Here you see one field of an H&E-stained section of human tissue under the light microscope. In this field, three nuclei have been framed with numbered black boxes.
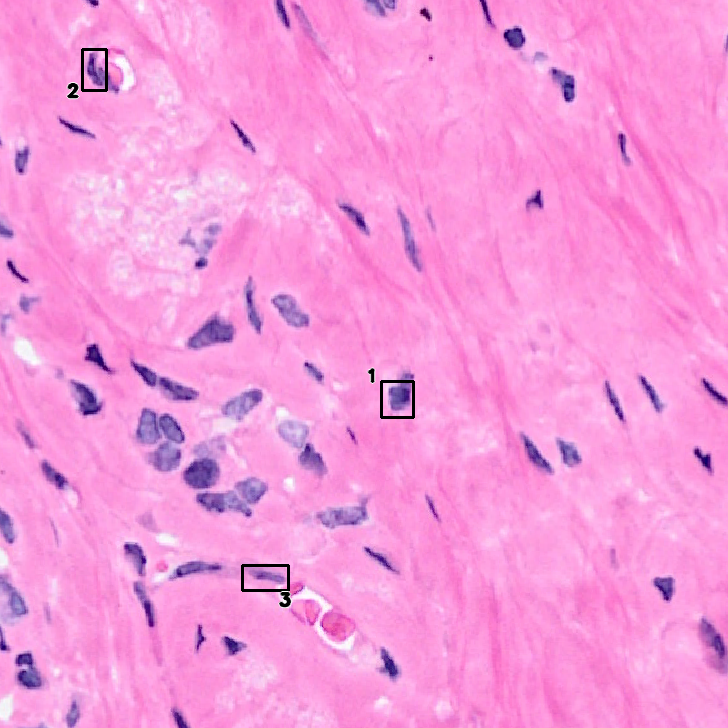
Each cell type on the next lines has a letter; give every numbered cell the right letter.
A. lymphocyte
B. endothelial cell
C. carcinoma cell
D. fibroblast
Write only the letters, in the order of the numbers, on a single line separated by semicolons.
A; B; B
